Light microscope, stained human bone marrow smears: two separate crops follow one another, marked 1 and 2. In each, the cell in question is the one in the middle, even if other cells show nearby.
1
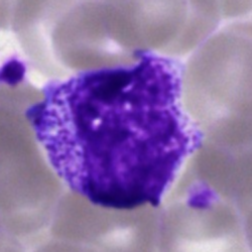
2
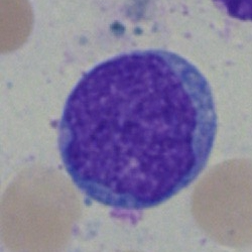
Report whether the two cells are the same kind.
no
